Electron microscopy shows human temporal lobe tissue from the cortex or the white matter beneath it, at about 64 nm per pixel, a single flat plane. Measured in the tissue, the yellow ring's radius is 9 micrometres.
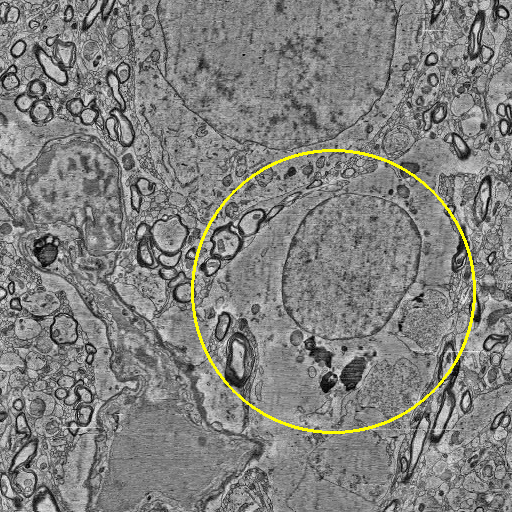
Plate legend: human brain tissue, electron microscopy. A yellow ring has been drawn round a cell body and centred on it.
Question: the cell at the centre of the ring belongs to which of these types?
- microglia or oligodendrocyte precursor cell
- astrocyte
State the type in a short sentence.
The cell in the middle of the ring is an astrocyte.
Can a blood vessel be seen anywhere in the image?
Yes.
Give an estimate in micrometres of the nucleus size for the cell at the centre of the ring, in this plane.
Roughly 10 by 8 micrometres in this plane, for the nucleus of the ringed cell.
